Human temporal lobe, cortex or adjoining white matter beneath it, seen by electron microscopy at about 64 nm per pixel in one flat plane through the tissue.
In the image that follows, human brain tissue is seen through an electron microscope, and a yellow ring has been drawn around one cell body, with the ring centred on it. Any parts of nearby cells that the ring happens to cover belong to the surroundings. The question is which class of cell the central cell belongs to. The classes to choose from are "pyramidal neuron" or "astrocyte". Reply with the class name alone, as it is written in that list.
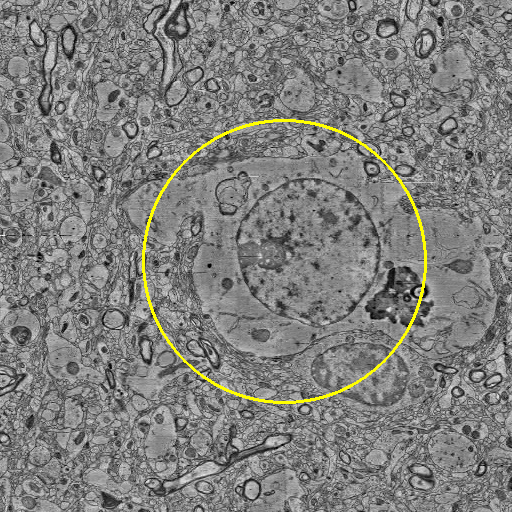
astrocyte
